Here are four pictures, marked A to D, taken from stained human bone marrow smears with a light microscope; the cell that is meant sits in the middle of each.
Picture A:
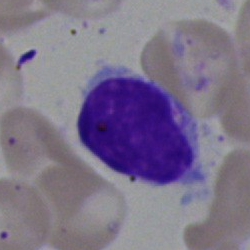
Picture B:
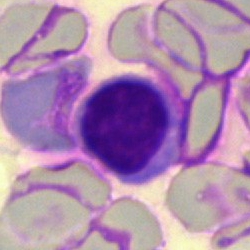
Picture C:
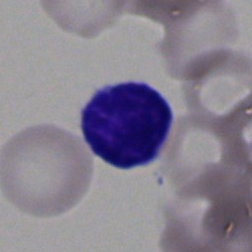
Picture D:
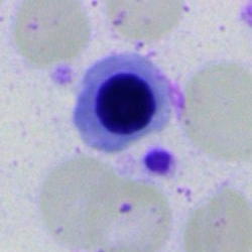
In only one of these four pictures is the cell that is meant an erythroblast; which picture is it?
D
